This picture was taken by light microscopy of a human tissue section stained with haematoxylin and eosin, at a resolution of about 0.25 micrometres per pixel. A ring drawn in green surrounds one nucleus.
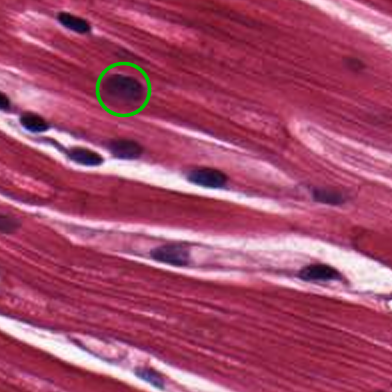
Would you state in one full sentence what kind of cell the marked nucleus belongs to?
The marked nucleus is that of a cardiomyocyte.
